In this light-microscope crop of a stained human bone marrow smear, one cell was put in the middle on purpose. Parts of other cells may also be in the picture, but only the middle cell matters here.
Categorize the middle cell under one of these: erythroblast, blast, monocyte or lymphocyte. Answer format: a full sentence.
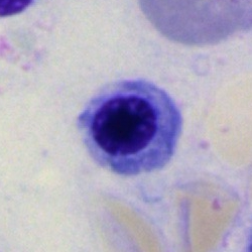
The centrally positioned cell in the crop represents an erythroblast.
